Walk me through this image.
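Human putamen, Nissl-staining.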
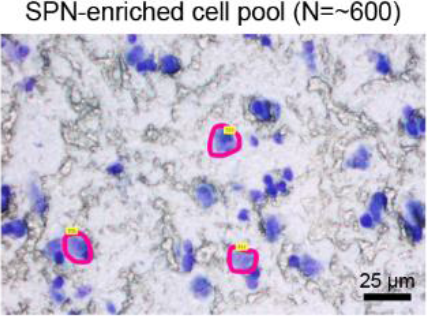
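Numerous such dark cells are scattered over a pale background laced with thin dark fibres. None of the cells here approaches the large size of the big interneurons, which fits their being the common, medium-sized neurons of this region.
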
